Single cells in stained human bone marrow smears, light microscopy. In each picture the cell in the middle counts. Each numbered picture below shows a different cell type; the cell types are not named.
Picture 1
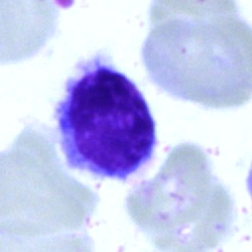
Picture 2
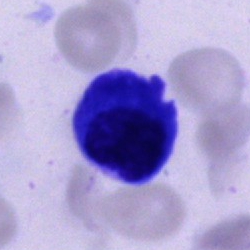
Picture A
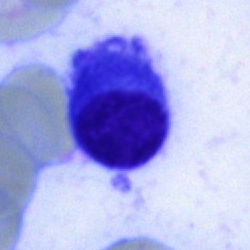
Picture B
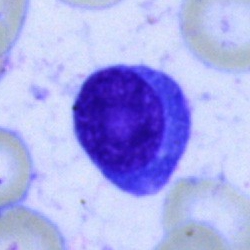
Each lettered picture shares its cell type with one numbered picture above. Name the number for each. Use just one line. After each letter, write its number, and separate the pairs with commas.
A 2, B 2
